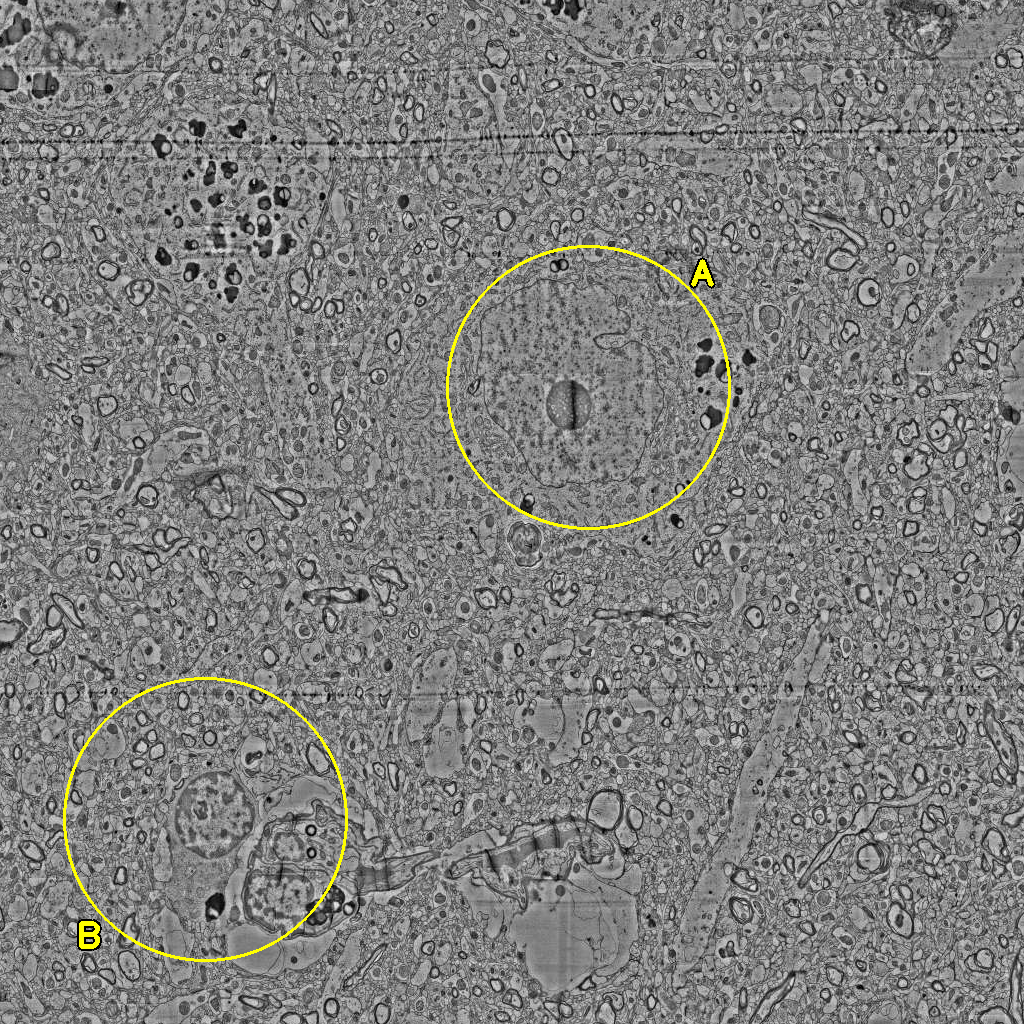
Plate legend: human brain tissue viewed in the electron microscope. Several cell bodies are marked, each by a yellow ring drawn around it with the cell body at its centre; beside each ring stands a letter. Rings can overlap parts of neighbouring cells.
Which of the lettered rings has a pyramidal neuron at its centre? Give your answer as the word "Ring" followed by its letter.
Ring A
